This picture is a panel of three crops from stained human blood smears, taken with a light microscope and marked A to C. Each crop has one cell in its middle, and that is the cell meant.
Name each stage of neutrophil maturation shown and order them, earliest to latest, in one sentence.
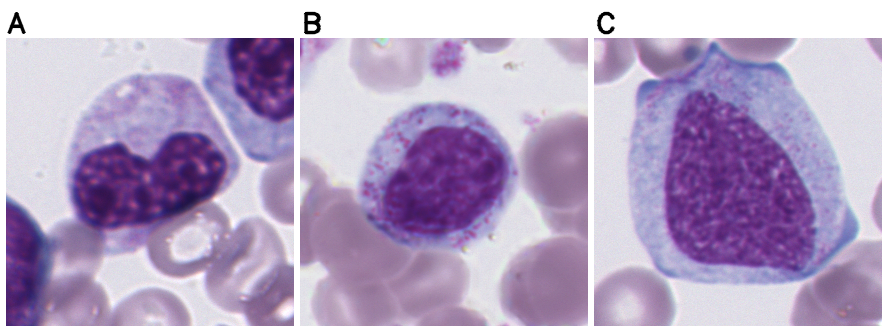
Ranking by maturity from lowest to highest gives crop C (a promyelocyte), crop B (a myelocyte) and crop A (a band neutrophil).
